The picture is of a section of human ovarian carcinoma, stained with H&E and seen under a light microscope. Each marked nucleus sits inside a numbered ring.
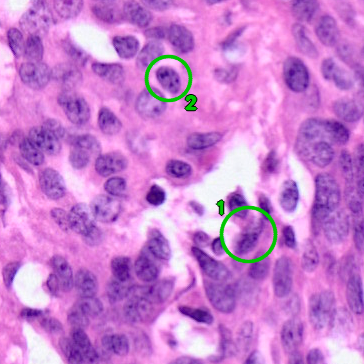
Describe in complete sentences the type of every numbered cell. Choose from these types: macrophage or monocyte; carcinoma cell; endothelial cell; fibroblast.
Cell 1 is a carcinoma cell. Cell 2 is a macrophage or monocyte.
